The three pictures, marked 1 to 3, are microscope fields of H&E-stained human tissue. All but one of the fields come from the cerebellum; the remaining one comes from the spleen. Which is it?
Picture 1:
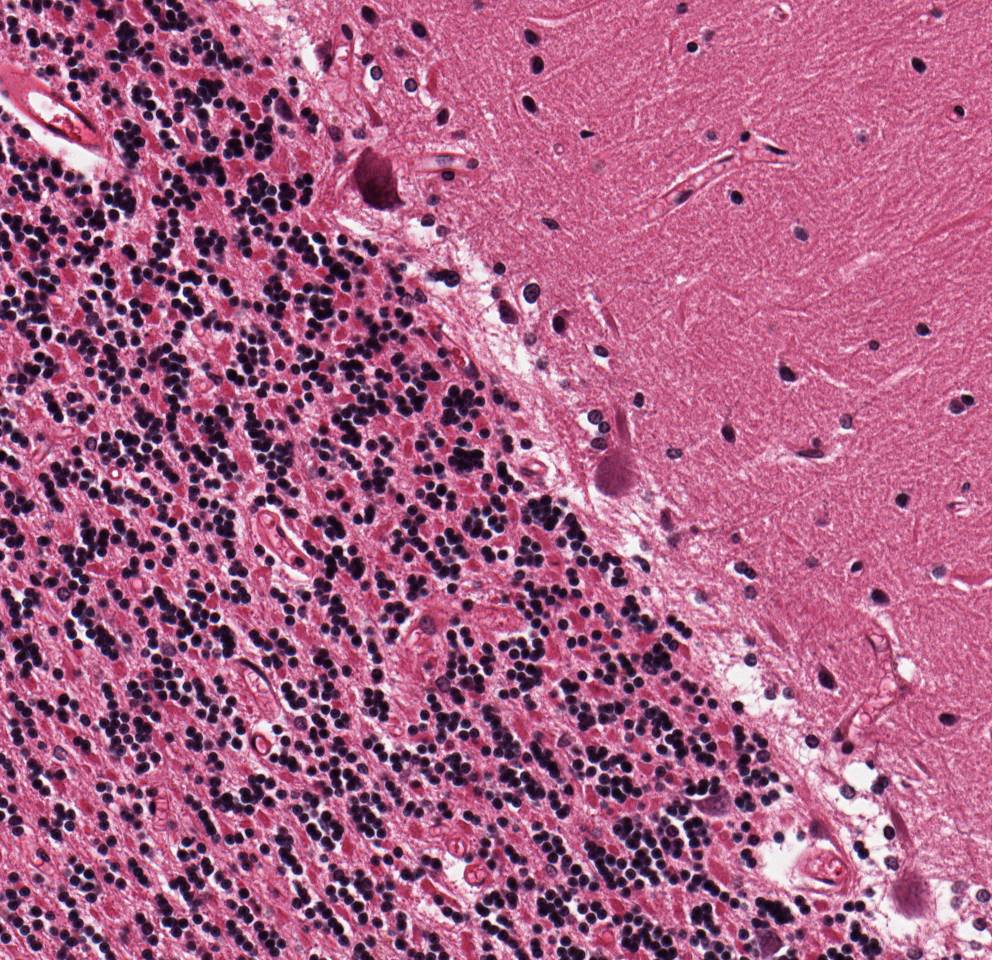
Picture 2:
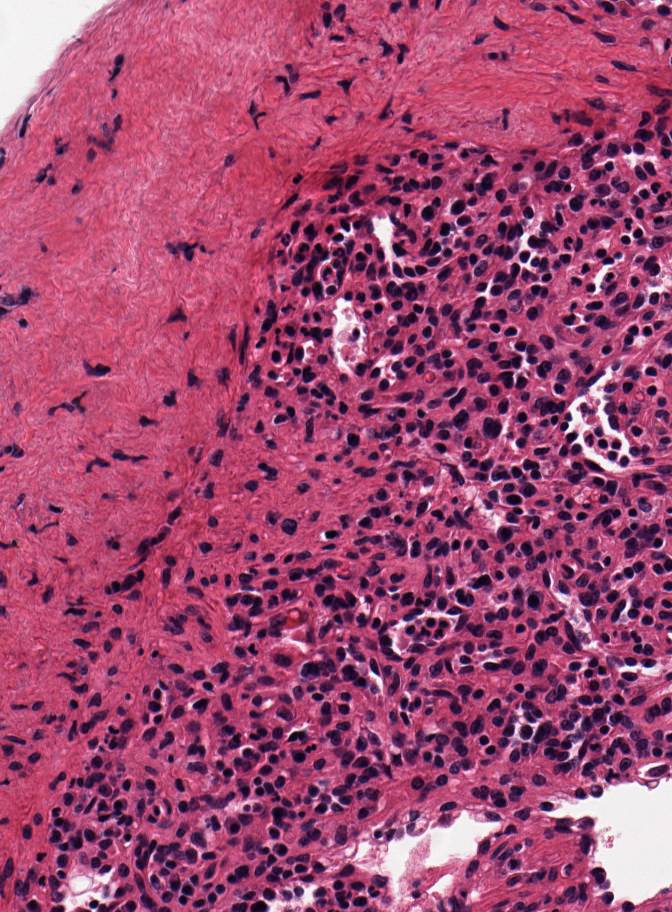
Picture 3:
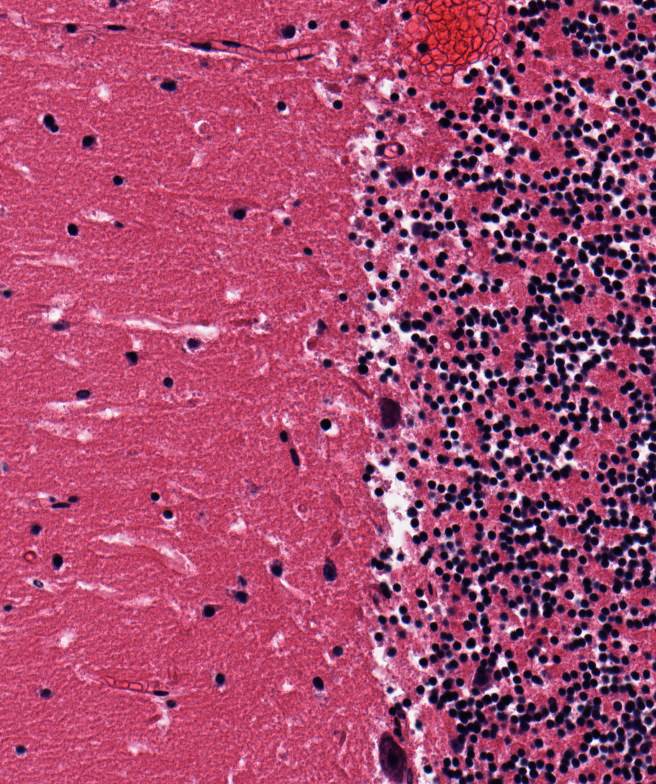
2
